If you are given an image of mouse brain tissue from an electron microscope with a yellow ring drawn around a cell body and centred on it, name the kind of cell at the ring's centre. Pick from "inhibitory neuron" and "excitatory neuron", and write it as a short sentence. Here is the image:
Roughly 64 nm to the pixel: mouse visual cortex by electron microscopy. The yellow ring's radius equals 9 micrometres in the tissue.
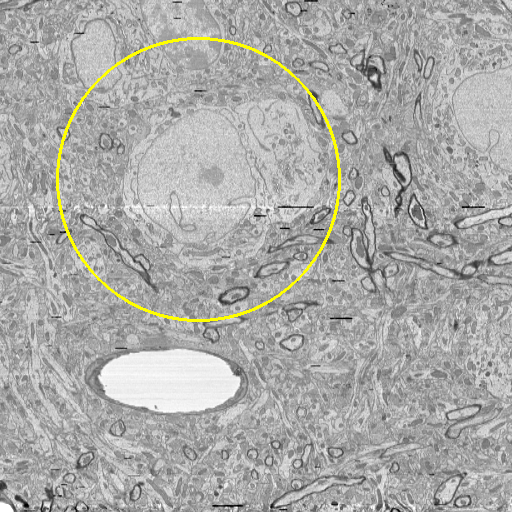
The cell at the ring's centre is an inhibitory neuron.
